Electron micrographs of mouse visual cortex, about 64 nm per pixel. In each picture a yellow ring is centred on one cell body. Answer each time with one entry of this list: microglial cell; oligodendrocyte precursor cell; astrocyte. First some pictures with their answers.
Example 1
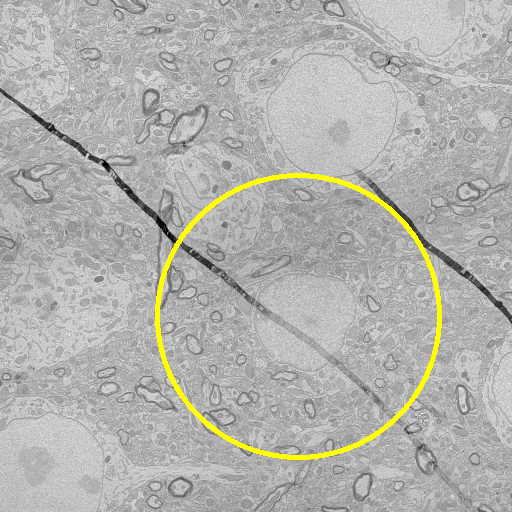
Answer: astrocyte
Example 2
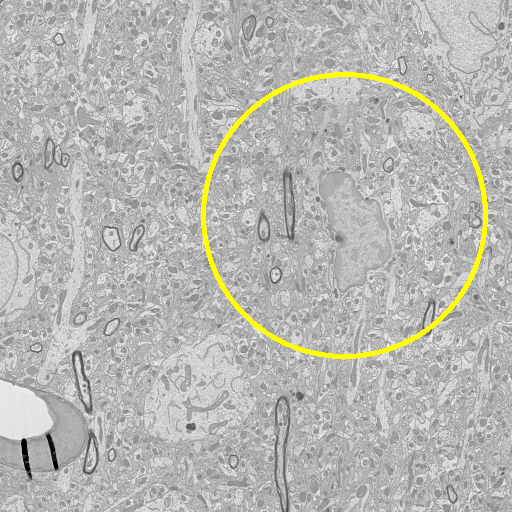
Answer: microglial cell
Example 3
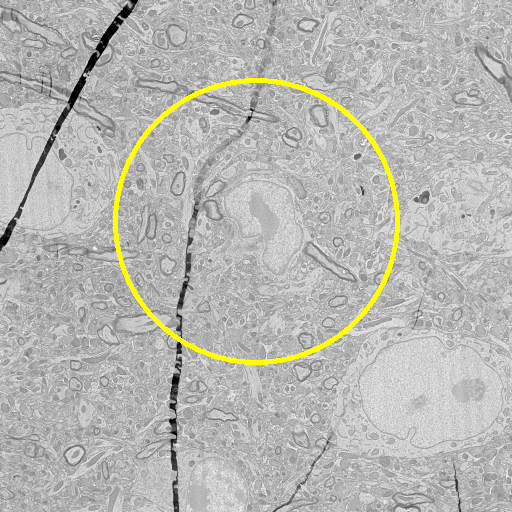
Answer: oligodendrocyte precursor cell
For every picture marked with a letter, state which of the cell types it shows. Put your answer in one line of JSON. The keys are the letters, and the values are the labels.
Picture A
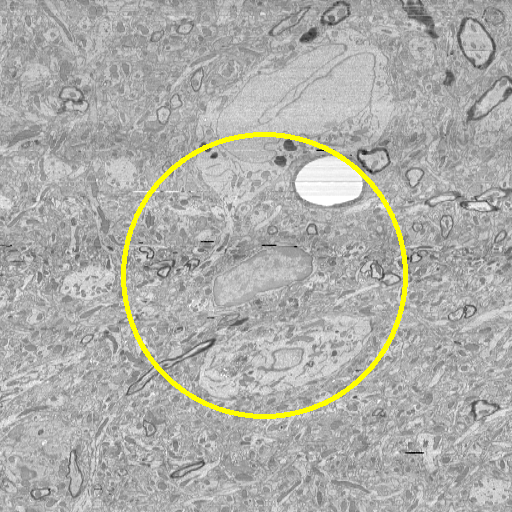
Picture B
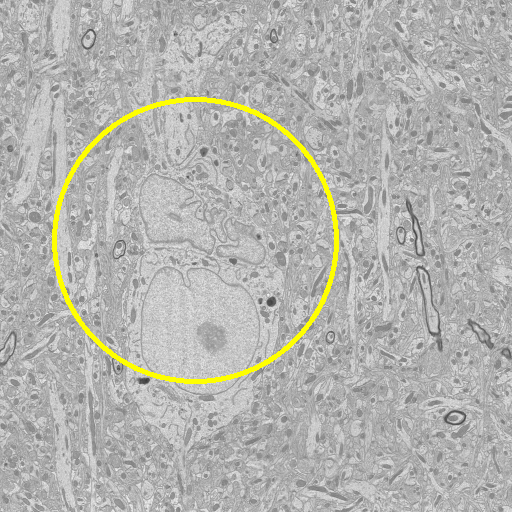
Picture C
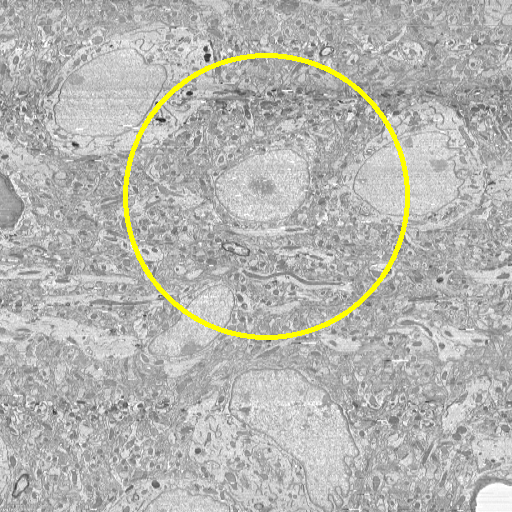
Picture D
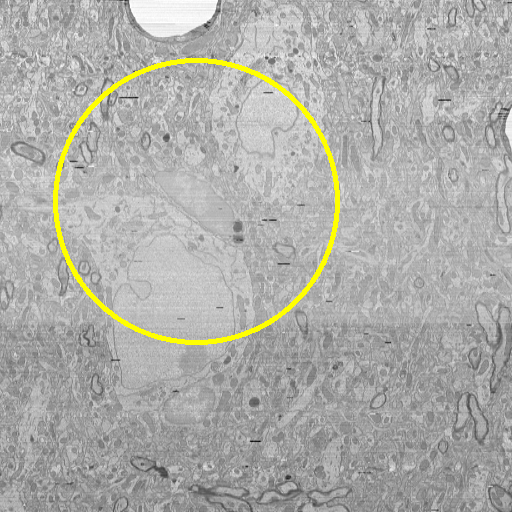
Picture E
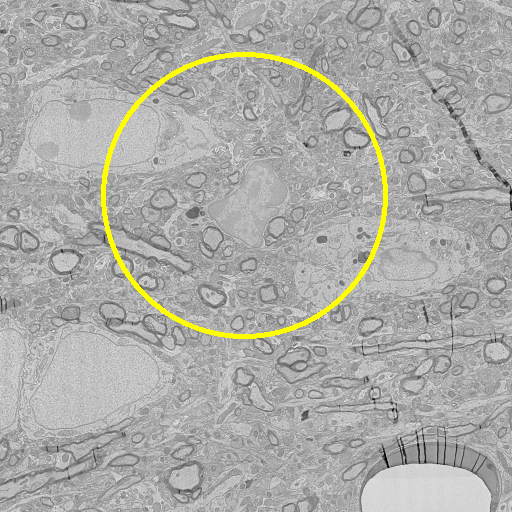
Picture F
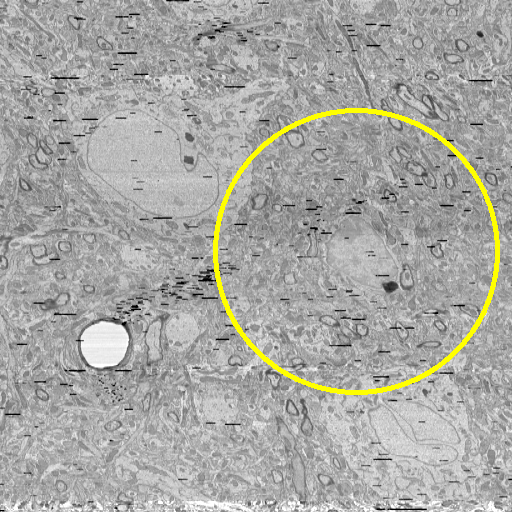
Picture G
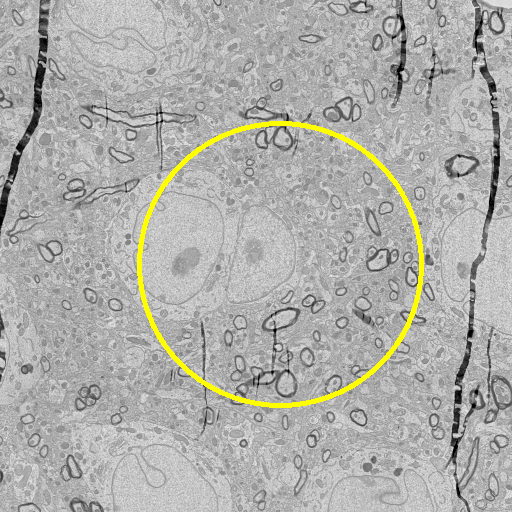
{"A": "microglial cell", "B": "oligodendrocyte precursor cell", "C": "astrocyte", "D": "microglial cell", "E": "microglial cell", "F": "microglial cell", "G": "oligodendrocyte precursor cell"}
